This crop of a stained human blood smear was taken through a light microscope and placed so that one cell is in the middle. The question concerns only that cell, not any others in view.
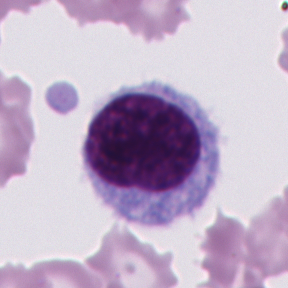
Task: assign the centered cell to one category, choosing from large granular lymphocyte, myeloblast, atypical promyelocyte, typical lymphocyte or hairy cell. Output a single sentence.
The centered cell in this crop is a hairy cell.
